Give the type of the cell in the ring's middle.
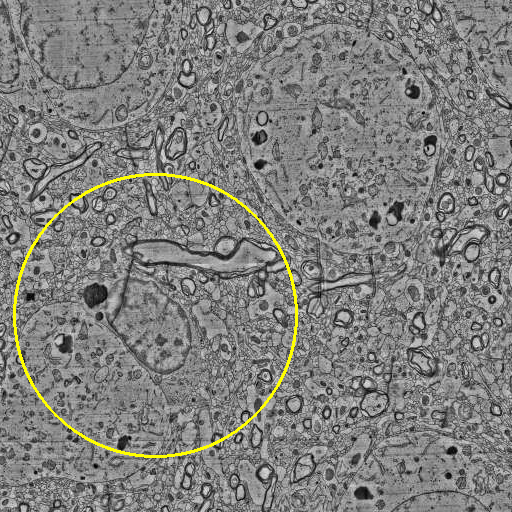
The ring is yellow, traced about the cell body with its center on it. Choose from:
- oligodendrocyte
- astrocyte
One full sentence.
Here, an oligodendrocyte is the cell lying at the center of the yellow ring.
